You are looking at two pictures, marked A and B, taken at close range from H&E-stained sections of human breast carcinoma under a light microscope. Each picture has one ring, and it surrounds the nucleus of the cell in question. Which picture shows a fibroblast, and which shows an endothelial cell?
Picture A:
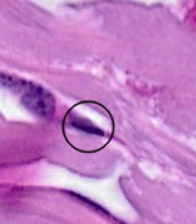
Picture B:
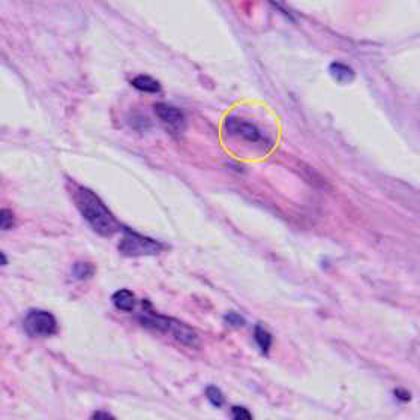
A: fibroblast
B: endothelial cell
